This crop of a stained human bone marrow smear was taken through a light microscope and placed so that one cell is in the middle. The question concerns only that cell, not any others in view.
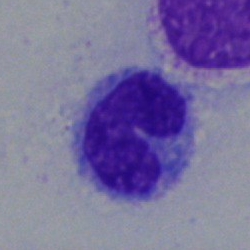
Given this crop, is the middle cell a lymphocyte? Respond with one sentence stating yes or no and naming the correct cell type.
No, it isn't a lymphocyte; what sits in the middle is a monocyte.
